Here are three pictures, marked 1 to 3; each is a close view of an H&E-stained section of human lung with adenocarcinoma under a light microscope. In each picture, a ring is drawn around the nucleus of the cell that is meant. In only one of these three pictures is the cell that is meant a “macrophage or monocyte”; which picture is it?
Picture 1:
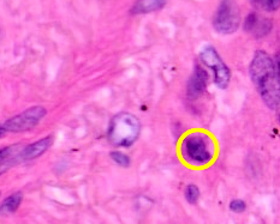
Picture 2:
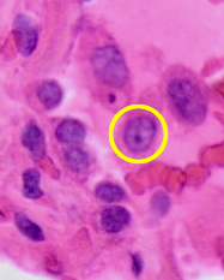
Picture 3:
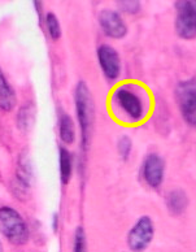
2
